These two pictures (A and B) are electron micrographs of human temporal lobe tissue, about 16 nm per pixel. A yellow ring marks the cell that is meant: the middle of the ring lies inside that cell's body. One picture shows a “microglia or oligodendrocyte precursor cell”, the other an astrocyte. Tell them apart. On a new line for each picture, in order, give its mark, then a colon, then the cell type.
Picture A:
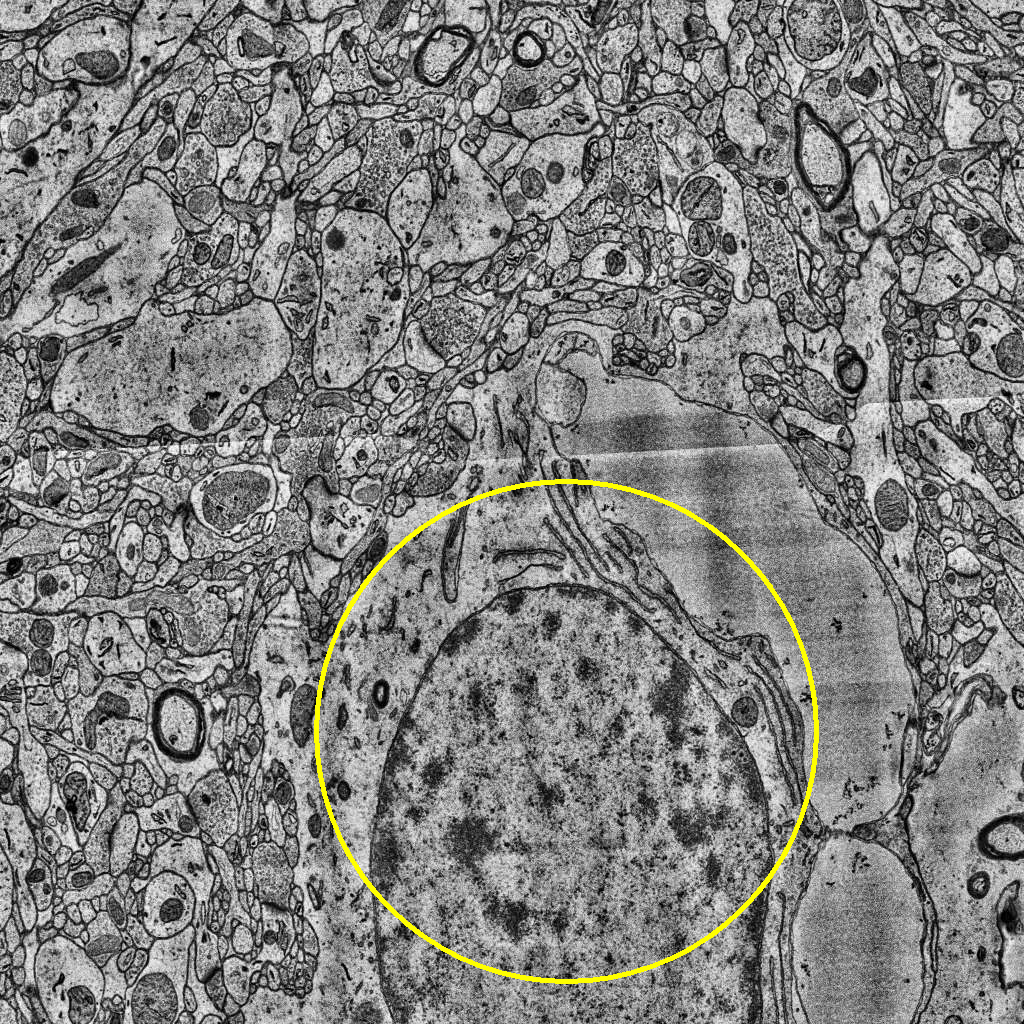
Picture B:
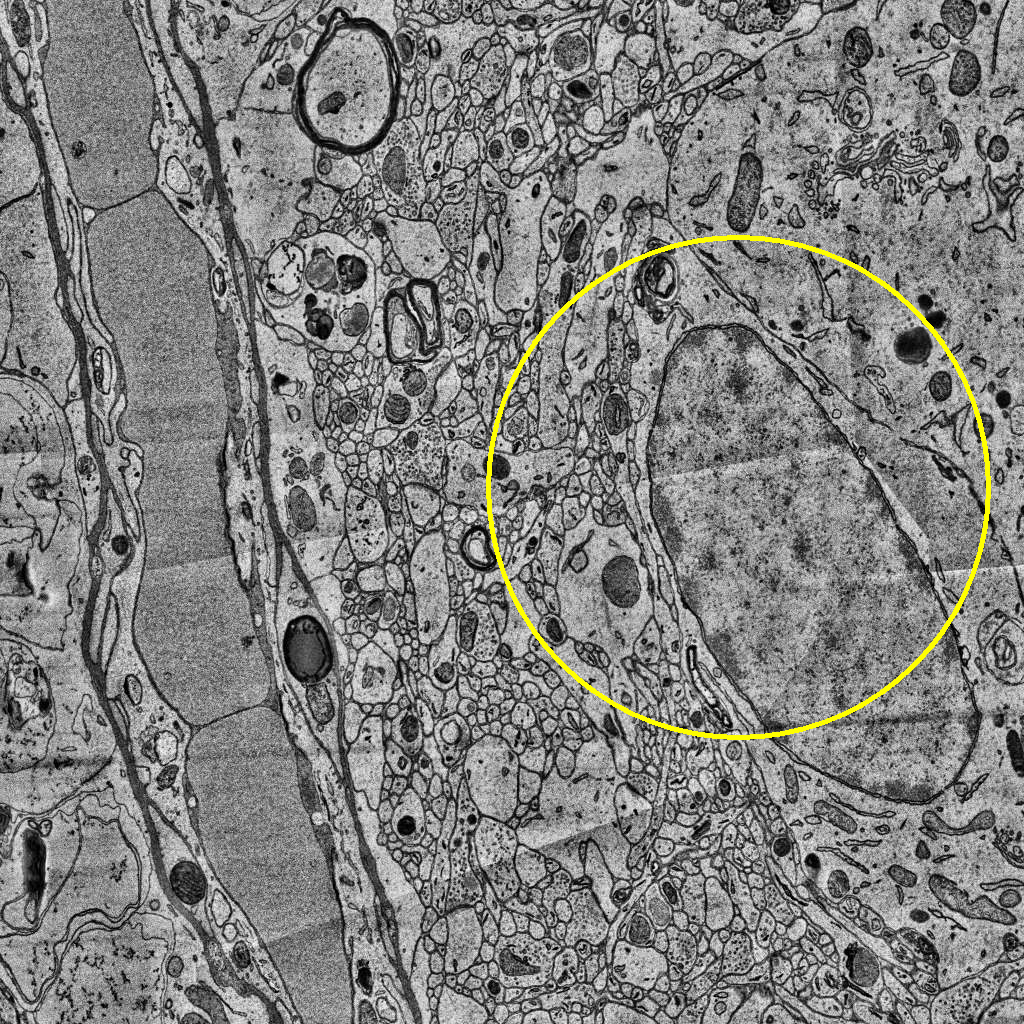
A: astrocyte
B: microglia or oligodendrocyte precursor cell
